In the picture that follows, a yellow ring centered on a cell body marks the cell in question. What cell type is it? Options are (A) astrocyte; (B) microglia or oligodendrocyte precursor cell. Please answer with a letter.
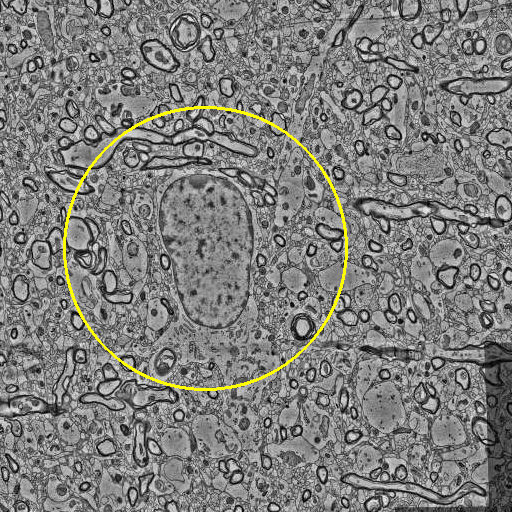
B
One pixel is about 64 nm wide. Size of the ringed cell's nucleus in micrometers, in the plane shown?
Roughly 10 micrometres by 6 micrometres, so the nucleus is clearly longer than it is wide in this plane.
